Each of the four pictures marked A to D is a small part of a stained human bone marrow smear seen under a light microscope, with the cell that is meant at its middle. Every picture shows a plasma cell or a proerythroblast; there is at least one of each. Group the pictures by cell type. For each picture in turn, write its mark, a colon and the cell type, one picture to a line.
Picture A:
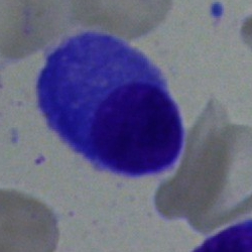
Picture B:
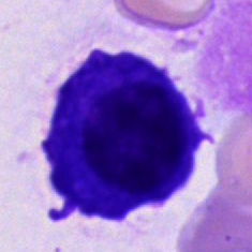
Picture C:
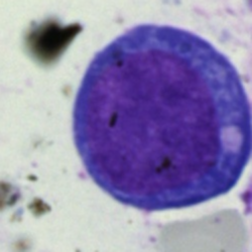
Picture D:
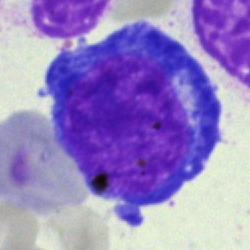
A: plasma cell
B: plasma cell
C: proerythroblast
D: proerythroblast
